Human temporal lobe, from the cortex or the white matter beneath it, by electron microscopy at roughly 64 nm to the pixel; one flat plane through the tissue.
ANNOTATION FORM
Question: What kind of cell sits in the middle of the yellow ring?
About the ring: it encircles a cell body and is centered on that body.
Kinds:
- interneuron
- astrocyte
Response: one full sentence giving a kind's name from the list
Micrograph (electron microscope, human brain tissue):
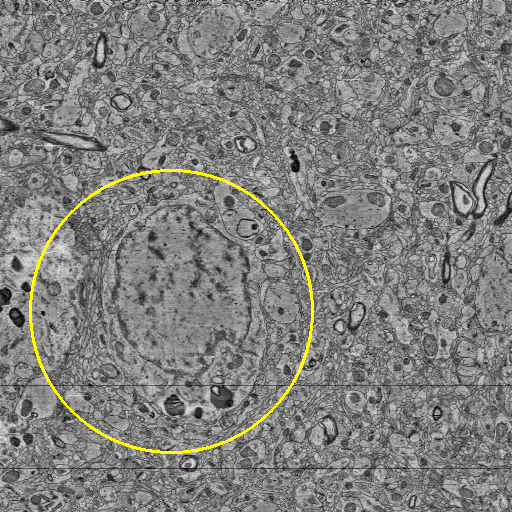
The kind of cell found at the center of the yellow ring in the micrograph is an interneuron.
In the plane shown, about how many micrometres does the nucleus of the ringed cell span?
Approximately 11 micrometres long and 9 micrometres wide, in this plane.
